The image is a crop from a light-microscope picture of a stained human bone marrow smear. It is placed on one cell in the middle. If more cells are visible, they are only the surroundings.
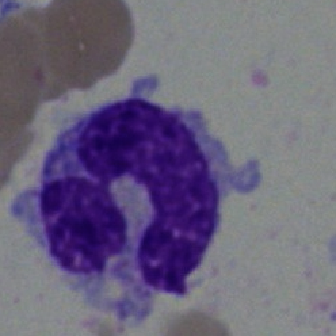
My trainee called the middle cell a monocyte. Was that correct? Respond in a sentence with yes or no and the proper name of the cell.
Yes, the central cell here is a monocyte.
